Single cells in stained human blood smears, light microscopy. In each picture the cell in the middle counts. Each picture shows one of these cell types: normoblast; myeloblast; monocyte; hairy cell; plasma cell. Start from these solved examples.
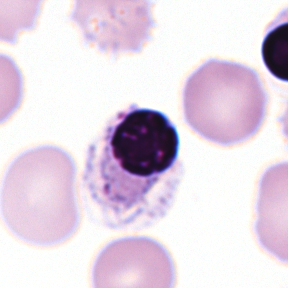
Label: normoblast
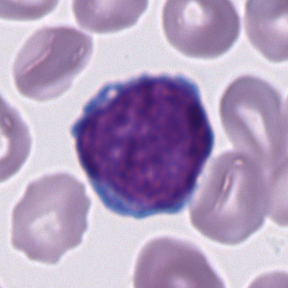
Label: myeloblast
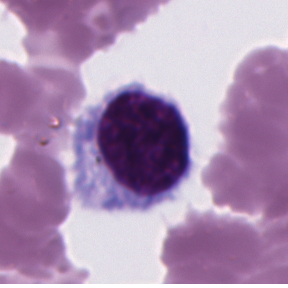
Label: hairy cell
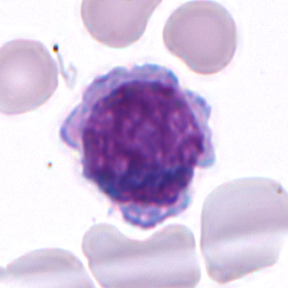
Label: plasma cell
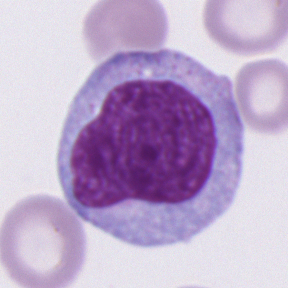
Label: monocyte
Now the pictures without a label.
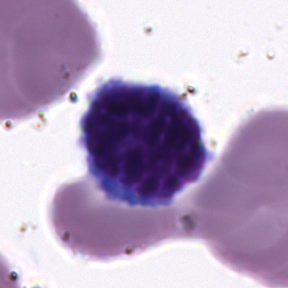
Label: plasma cell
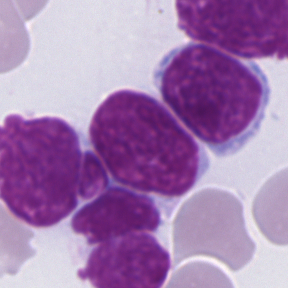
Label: myeloblast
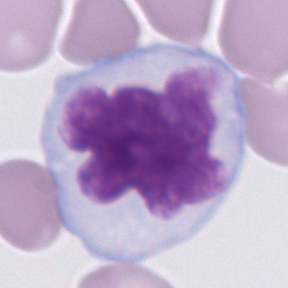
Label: monocyte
